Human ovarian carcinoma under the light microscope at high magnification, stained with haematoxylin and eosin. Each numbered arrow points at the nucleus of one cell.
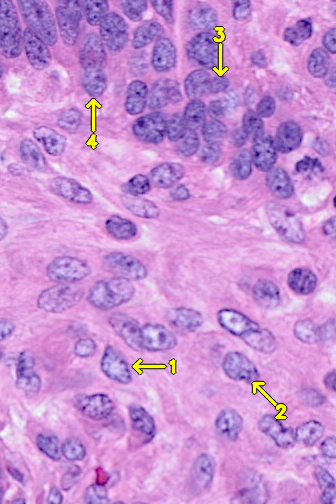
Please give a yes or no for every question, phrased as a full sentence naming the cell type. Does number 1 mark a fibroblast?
Yes, the one with the number 1 is a fibroblast.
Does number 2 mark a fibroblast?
Yes, with respect to number 2, the cell is a fibroblast.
